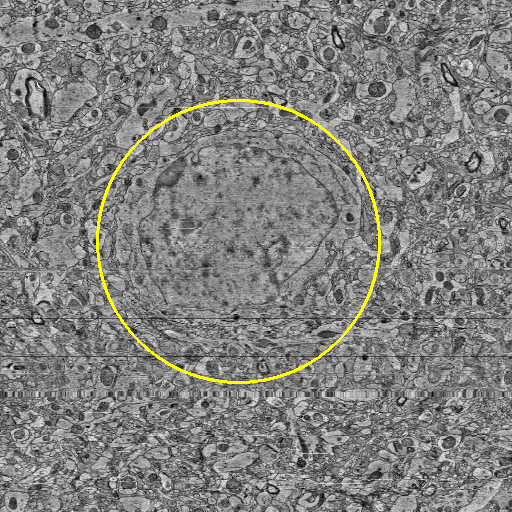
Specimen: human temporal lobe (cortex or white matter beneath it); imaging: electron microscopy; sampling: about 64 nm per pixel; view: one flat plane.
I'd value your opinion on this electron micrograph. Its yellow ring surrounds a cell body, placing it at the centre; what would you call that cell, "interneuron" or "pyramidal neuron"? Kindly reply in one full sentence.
It is an interneuron that sits centred within the yellow ring in this micrograph.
